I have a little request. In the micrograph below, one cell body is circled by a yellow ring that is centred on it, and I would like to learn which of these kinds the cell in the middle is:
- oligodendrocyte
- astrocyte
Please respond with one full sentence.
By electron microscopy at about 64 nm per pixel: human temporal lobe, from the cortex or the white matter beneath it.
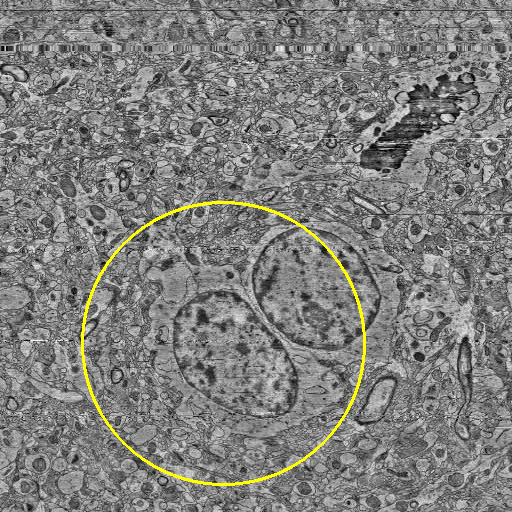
The cell sitting in the middle of the yellow ring in the micrograph is an astrocyte.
